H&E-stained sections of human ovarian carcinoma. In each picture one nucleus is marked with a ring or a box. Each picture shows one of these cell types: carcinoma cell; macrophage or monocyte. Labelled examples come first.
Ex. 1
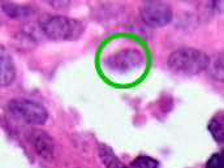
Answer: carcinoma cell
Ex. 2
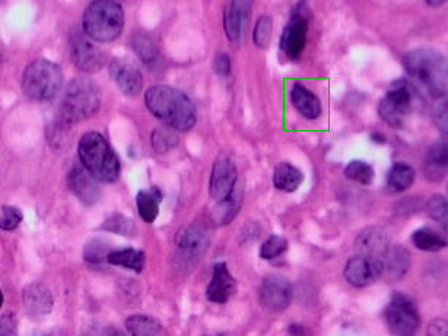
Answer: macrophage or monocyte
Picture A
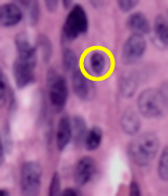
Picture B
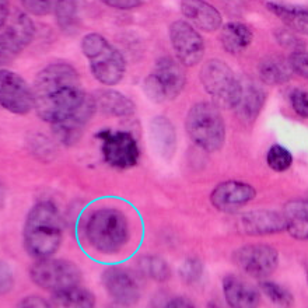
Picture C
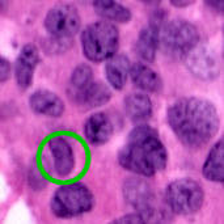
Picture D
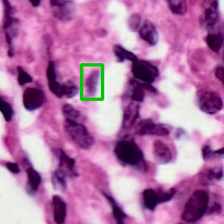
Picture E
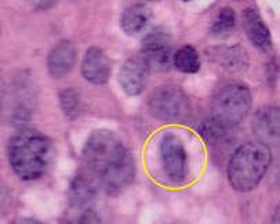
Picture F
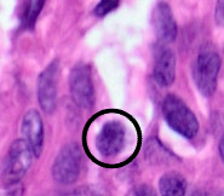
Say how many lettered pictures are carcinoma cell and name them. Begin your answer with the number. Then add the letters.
Count: 2 (B, C)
